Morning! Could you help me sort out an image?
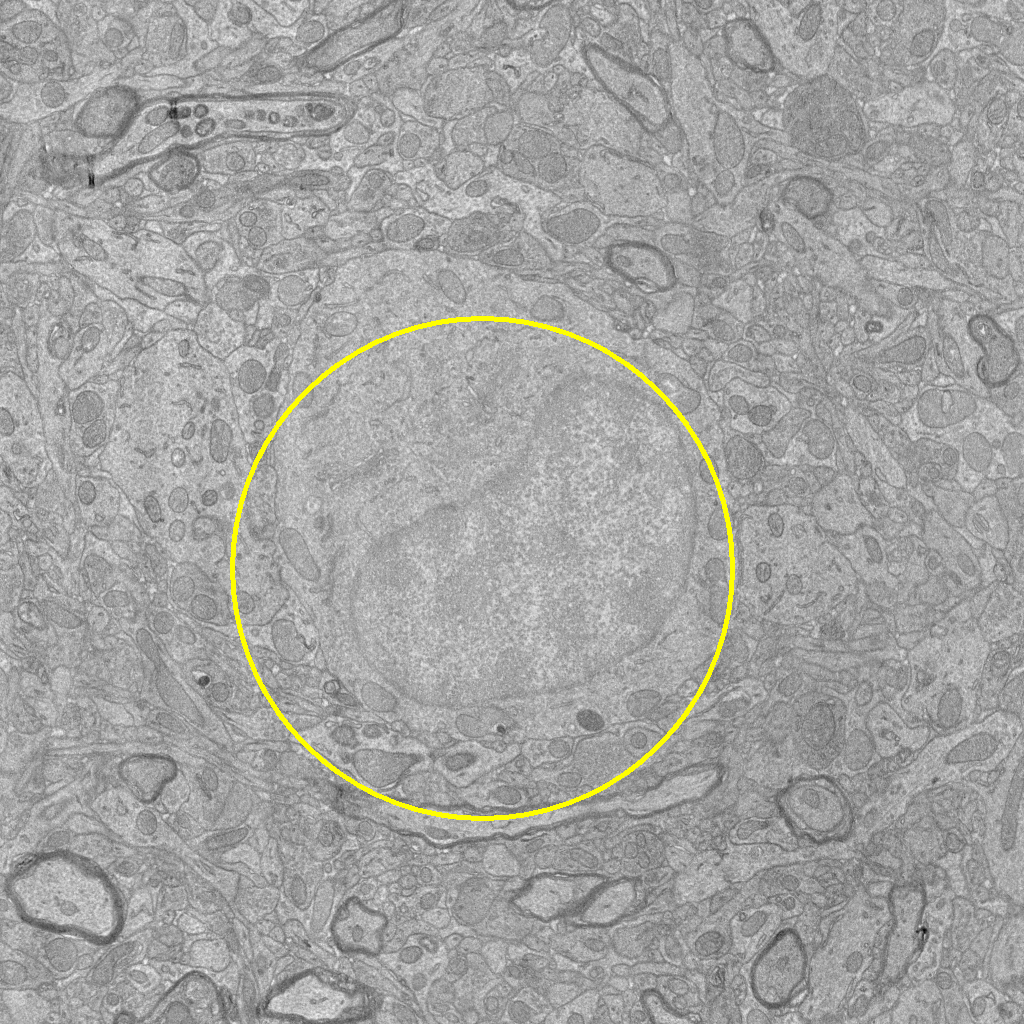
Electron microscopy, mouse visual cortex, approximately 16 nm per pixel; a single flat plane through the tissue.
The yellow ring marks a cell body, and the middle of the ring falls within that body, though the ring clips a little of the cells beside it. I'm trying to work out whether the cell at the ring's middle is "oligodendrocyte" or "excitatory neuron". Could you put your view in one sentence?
The cell body at the ring's middle is that of an oligodendrocyte.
